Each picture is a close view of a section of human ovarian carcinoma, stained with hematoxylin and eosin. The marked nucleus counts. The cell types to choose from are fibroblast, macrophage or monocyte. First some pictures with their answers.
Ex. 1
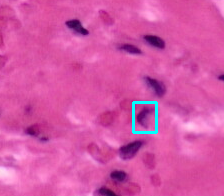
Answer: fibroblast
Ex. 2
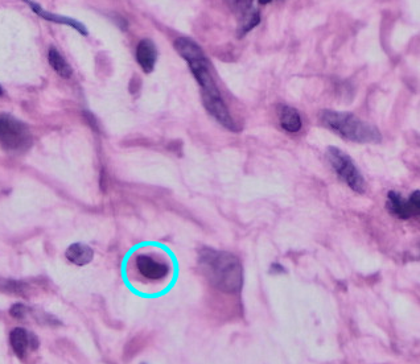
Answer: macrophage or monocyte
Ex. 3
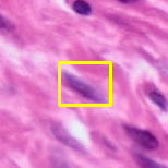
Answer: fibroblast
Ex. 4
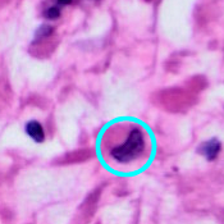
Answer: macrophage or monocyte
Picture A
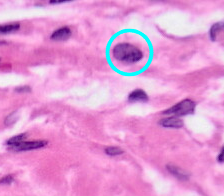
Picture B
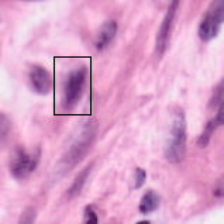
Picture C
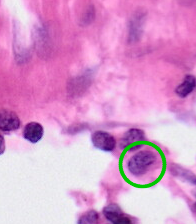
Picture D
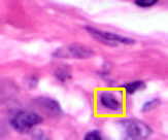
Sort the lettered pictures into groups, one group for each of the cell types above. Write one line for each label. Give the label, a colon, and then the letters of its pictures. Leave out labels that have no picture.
fibroblast: B
macrophage or monocyte: A, C, D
